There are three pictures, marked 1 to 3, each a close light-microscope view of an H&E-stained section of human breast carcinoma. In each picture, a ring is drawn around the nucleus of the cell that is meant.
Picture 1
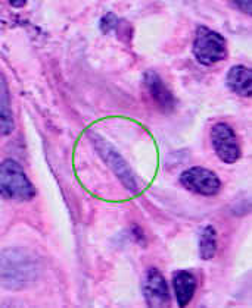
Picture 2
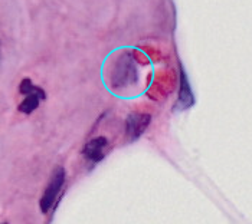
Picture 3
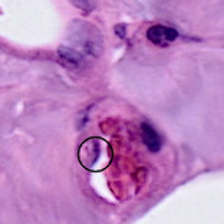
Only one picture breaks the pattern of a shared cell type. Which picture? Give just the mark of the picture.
1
